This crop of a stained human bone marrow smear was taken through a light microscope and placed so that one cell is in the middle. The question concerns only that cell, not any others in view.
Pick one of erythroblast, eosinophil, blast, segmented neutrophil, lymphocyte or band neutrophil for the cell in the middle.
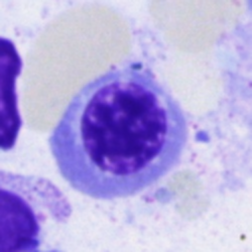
erythroblast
